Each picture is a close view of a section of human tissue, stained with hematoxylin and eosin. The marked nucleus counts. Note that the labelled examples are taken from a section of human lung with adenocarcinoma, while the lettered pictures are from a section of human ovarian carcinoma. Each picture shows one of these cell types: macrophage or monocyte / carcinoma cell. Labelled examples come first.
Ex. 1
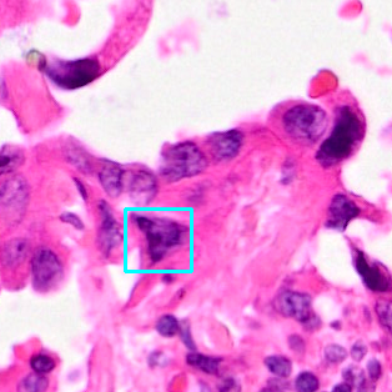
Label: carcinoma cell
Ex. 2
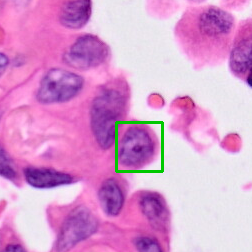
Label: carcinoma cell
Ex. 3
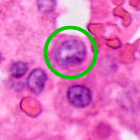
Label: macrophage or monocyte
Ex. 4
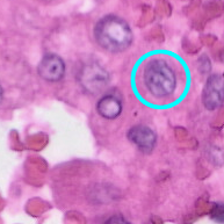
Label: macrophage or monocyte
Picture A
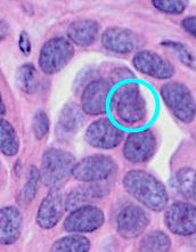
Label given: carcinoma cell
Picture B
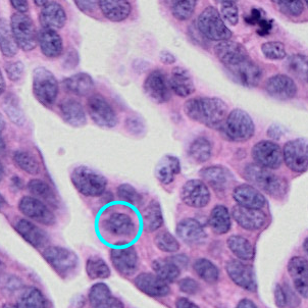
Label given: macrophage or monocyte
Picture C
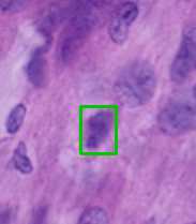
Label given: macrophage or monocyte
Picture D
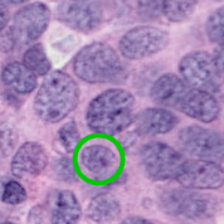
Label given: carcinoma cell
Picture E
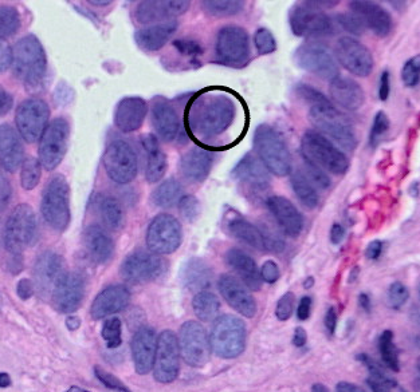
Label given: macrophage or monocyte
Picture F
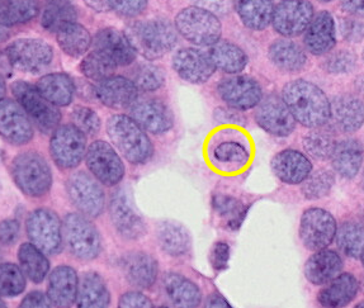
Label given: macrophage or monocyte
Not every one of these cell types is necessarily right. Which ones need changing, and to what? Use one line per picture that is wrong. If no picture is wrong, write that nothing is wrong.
Wrong: B (macrophage or monocyte); correct: carcinoma cell
Wrong: E (macrophage or monocyte); correct: carcinoma cell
